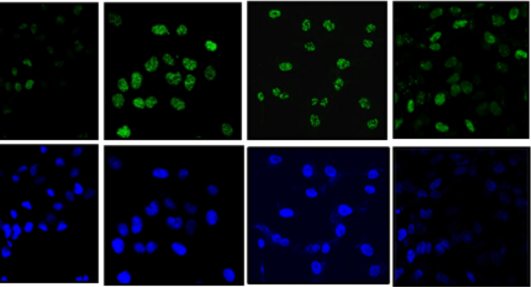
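The nuclei are round to oval, fairly uniform in size and scattered singly across the field rather than packed into a sheet. The green signal lies within the nuclei and appears granular or speckled, with some nuclei much brighter than others. No cytoplasmic outline is visible, so the cells are recognised by their nuclei alone.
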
